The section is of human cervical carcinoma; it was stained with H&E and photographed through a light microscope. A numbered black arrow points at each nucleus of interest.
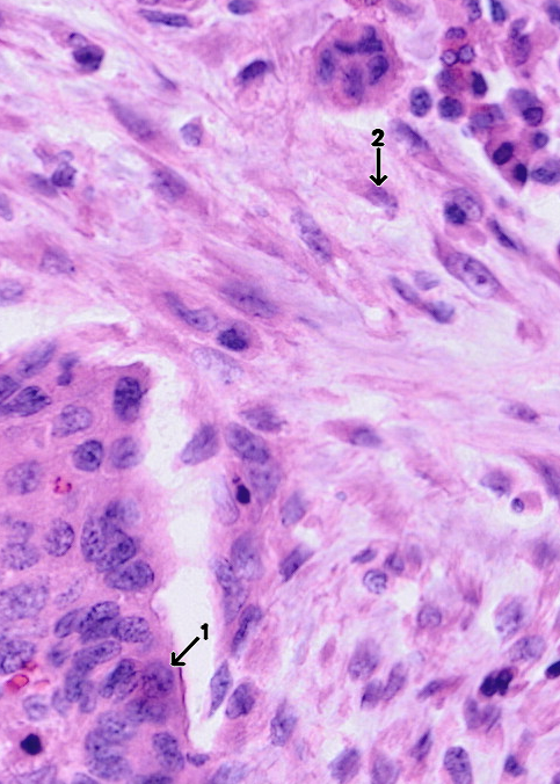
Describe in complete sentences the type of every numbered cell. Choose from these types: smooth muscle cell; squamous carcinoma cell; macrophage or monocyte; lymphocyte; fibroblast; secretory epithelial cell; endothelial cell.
Cell 1 is a squamous carcinoma cell and cell 2 is a fibroblast.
